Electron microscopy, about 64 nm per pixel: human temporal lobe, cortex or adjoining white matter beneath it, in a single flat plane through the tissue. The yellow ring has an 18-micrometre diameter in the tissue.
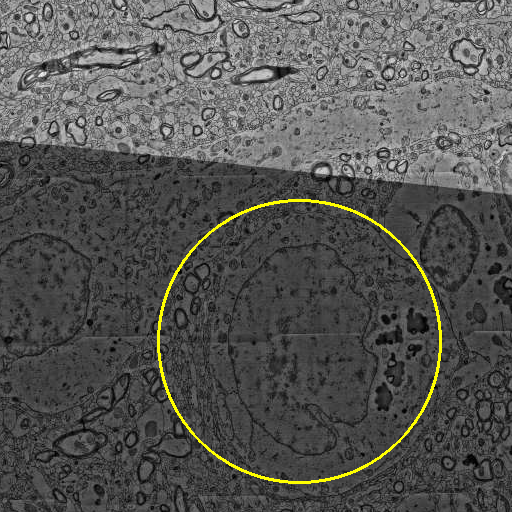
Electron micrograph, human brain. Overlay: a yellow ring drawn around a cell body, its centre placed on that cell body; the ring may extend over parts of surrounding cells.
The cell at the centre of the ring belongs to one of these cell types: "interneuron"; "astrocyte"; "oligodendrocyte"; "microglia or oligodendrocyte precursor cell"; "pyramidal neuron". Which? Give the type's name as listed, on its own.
pyramidal neuron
